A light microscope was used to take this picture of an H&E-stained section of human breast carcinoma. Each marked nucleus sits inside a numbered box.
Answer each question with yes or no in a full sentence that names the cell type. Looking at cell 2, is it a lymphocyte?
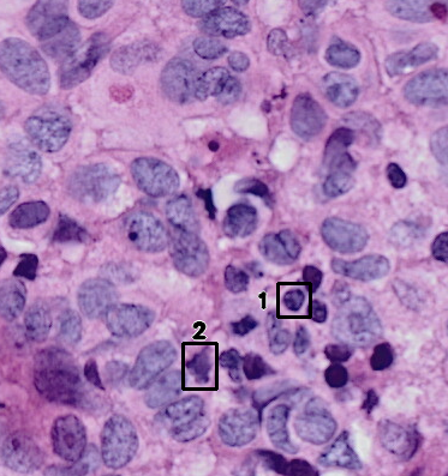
No, the cell identified by number 2 is a carcinoma cell, not a lymphocyte.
